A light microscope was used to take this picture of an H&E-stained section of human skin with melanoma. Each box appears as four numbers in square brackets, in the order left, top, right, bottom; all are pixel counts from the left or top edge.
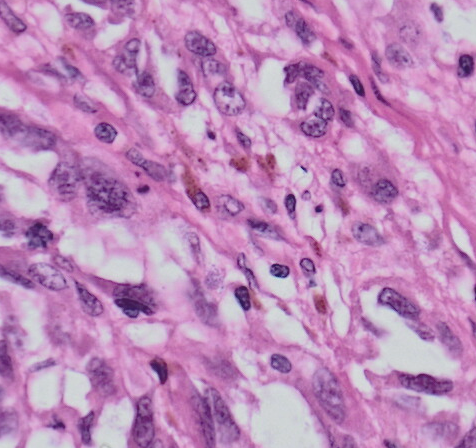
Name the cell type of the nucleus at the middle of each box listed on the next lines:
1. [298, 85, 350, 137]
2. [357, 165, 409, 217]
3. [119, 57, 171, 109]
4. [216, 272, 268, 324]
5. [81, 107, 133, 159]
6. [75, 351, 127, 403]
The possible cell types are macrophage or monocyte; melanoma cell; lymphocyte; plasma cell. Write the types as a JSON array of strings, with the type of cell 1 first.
["melanoma cell", "melanoma cell", "melanoma cell", "plasma cell", "lymphocyte", "melanoma cell"]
